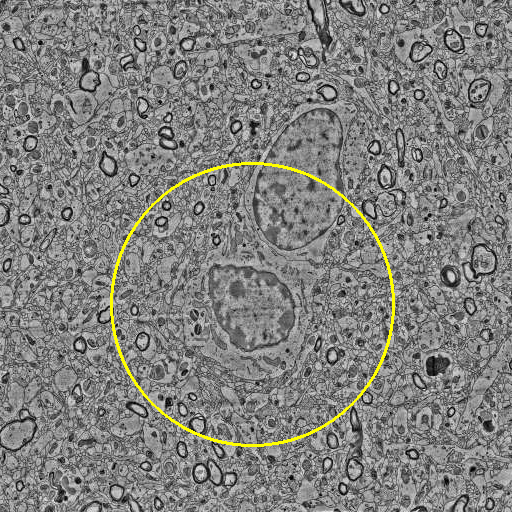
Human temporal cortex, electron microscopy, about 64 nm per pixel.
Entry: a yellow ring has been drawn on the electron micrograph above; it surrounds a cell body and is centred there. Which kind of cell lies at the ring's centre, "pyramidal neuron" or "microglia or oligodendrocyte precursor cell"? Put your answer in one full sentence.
The cell sitting at the ring's centre is a microglial cell or oligodendrocyte precursor cell in the micrograph above.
